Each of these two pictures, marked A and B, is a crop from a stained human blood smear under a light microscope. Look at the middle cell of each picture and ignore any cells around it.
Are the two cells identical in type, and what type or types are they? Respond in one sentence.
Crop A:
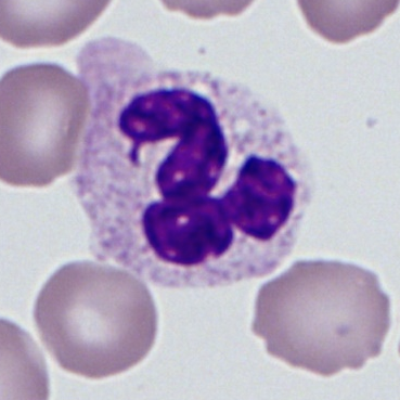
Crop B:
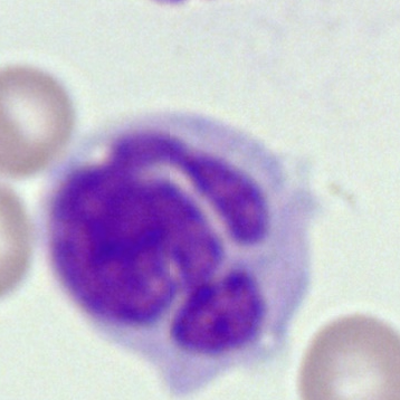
No, crop A corresponds to a segmented neutrophil, while crop B corresponds to a monocyte.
